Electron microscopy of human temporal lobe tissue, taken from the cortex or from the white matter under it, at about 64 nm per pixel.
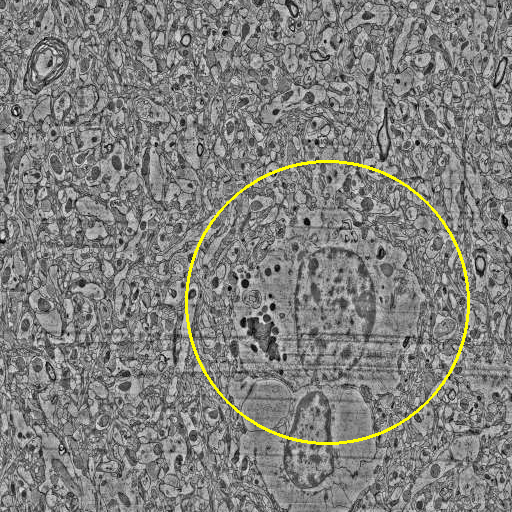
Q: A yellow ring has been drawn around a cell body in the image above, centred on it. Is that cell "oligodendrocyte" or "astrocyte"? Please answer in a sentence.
The ring surrounds the cell body of an astrocyte.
